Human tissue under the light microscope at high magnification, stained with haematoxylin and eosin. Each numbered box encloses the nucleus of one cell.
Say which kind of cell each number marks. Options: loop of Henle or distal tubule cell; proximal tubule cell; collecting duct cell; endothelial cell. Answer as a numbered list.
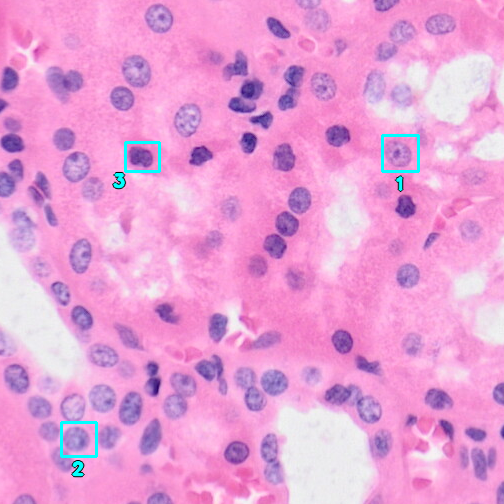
1. proximal tubule cell
2. collecting duct cell
3. proximal tubule cell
